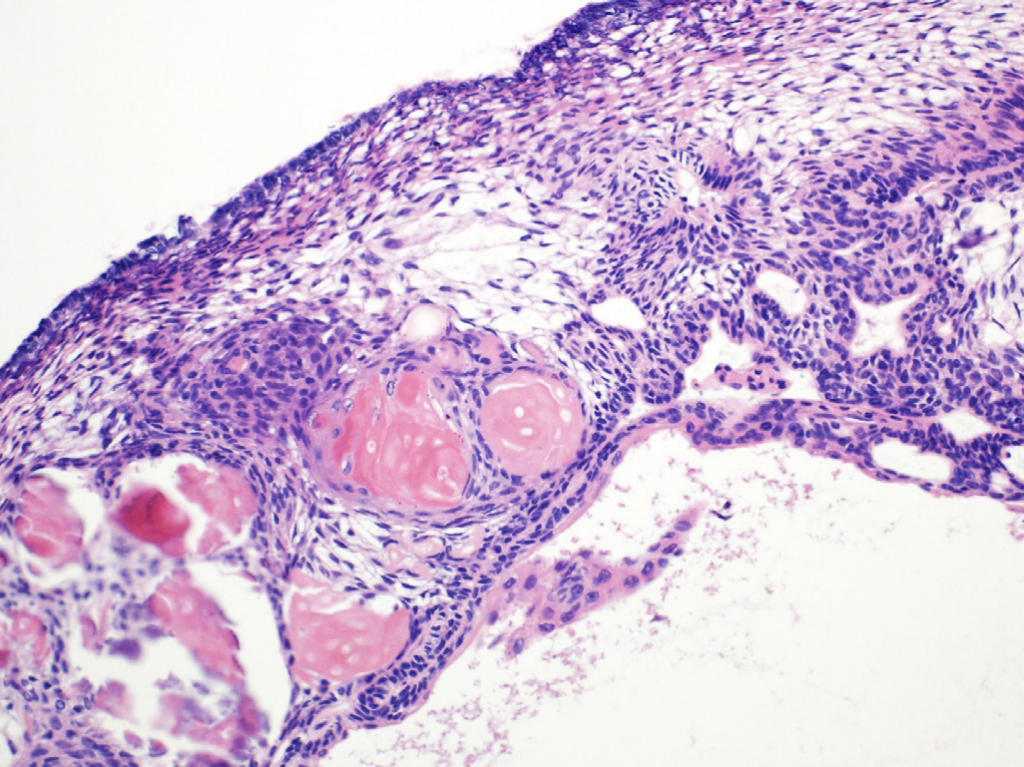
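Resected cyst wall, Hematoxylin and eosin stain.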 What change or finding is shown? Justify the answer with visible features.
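Epithelium has dark, crowded basal cells at its edges. Loose, pale, star-like network of cells lies in the middle of the epithelium. Nodules of glassy pink material lie within the epithelium. That points to this answer: adamantinomatous craniopharyngioma.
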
